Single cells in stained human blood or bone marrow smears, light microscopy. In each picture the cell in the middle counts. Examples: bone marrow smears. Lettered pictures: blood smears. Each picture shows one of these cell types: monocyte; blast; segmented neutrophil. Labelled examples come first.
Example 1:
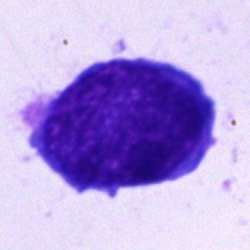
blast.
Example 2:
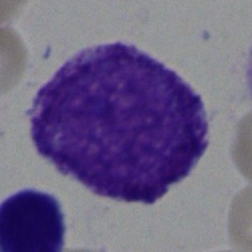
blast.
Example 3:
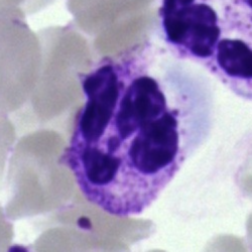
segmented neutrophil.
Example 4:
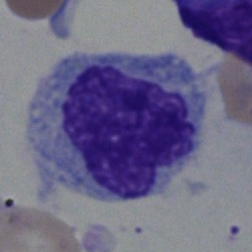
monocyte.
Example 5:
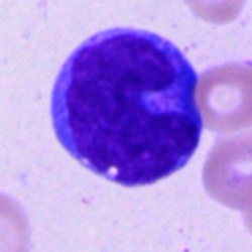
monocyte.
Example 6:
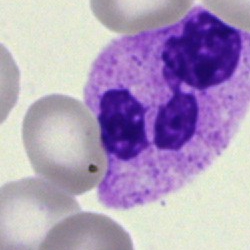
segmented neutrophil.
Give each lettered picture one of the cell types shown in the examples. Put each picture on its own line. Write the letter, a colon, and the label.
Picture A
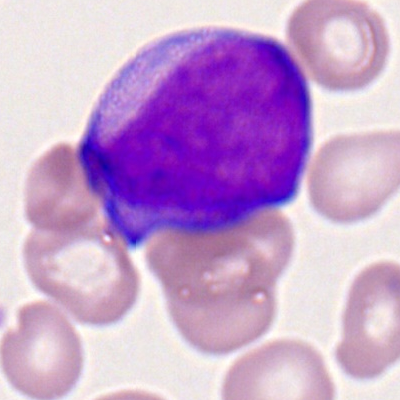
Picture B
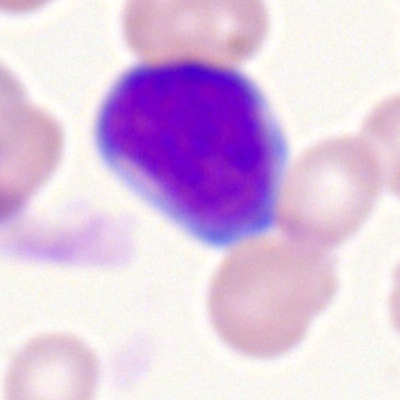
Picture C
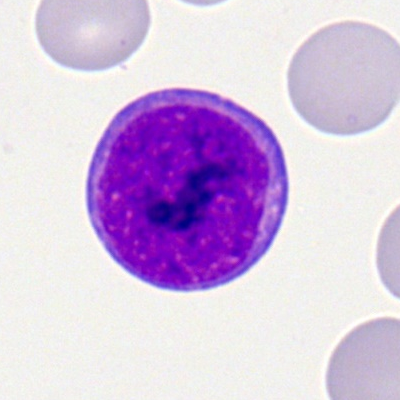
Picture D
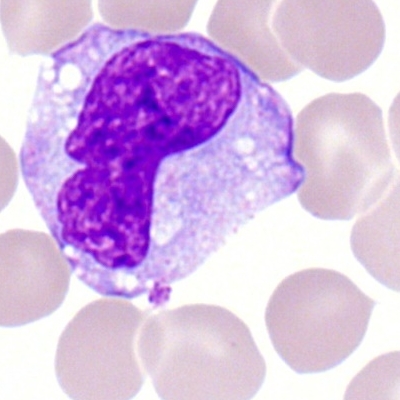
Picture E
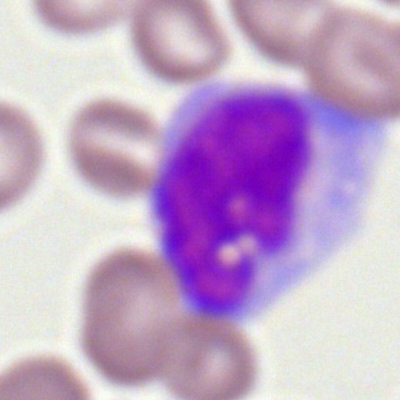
A: blast.
B: blast.
C: blast.
D: monocyte.
E: monocyte.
